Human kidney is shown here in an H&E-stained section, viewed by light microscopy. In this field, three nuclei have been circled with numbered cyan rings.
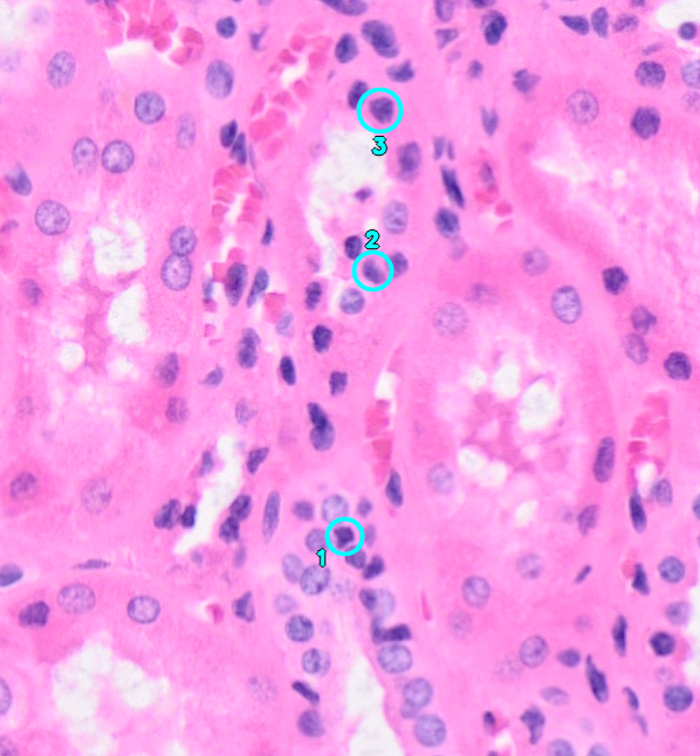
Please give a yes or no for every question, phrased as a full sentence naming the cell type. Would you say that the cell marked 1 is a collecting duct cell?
Yes, the cell sitting at number 1 is a collecting duct cell.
